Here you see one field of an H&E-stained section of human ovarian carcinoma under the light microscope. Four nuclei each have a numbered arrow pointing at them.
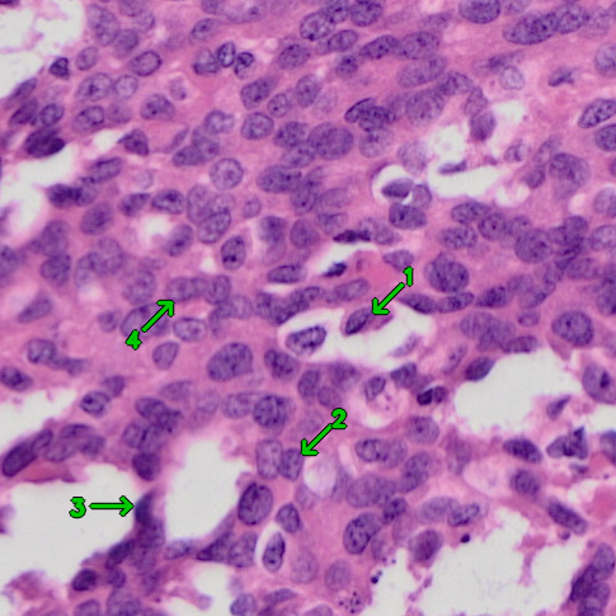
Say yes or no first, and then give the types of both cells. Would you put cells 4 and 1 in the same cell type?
No, cell 4 is a carcinoma cell, while cell 1 is a macrophage or monocyte.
